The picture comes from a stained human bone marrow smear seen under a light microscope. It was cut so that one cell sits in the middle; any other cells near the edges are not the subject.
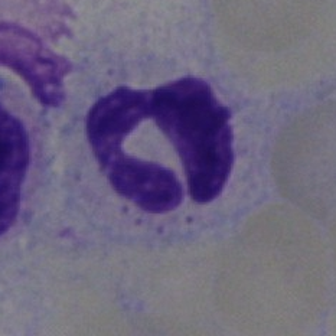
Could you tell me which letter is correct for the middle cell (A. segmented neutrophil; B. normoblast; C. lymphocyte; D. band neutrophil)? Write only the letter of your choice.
A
